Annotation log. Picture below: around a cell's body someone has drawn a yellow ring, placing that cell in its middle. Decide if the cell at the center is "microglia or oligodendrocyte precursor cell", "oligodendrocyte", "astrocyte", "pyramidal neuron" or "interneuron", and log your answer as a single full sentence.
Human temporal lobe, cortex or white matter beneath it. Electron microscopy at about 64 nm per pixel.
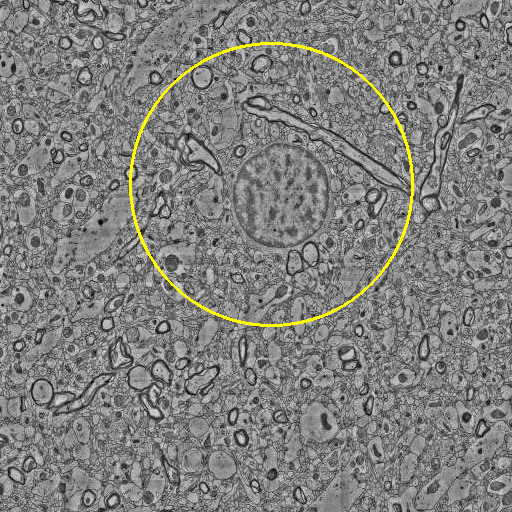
My entry records an oligodendrocyte as the cell sitting at the center of the yellow ring.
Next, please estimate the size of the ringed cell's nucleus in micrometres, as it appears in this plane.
Roughly 6 micrometres across for the nucleus, in this plane.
